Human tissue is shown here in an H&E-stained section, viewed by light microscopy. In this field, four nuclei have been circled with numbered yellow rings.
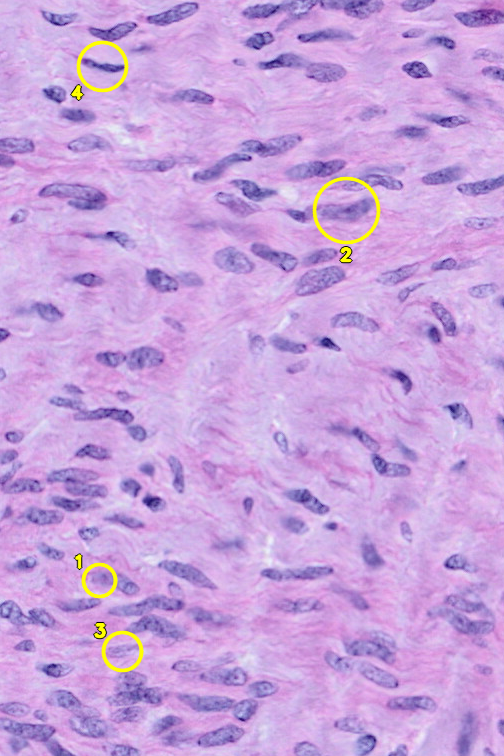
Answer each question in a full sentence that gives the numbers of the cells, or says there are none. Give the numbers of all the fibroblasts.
The sole numbered cell that is a fibroblast is cell 4.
